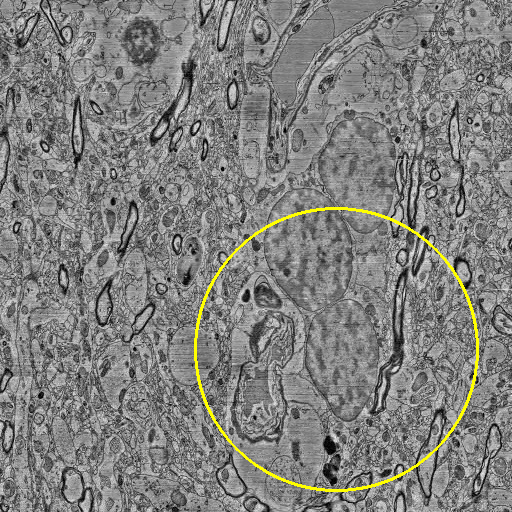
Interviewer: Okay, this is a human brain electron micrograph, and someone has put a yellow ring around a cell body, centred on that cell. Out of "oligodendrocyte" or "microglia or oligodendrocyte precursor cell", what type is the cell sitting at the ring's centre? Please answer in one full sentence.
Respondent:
The cell at the centre of the yellow ring in this picture is an oligodendrocyte.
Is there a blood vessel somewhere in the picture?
Yes, the image shows a blood vessel.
